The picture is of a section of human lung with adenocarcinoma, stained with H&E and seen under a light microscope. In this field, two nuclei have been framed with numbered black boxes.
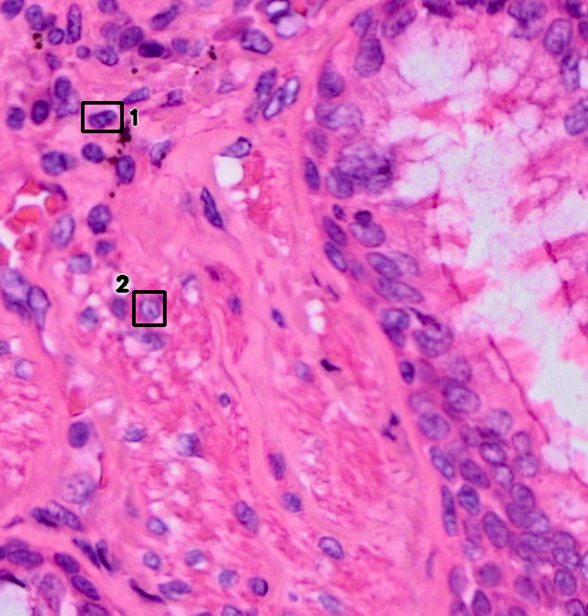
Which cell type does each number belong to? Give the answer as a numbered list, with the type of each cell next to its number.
1. lymphocyte
2. smooth muscle cell or pericyte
